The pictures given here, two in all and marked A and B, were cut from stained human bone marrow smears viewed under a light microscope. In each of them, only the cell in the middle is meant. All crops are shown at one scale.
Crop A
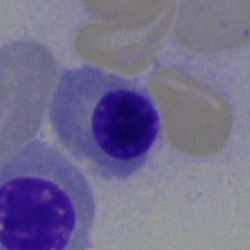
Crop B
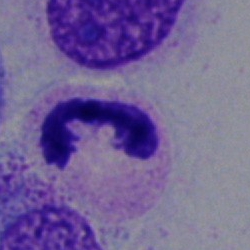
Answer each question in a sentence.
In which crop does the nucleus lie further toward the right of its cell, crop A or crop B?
Seen within its cell, the nucleus in crop A lies further toward the right.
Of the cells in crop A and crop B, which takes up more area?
The cell in crop B is larger, with about 2 times the area of the one in crop A.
